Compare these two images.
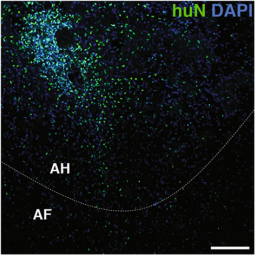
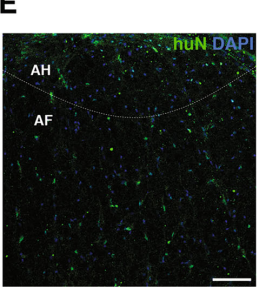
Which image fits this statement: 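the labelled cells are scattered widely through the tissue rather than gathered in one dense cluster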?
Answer: The second image.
